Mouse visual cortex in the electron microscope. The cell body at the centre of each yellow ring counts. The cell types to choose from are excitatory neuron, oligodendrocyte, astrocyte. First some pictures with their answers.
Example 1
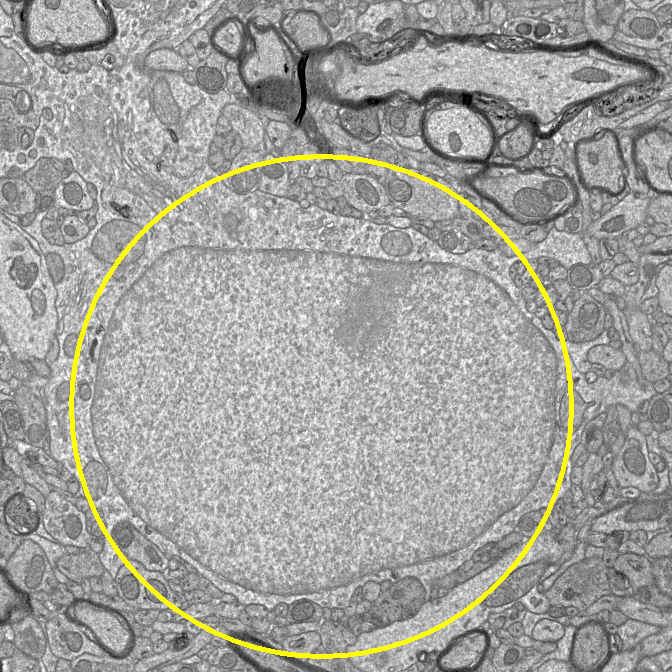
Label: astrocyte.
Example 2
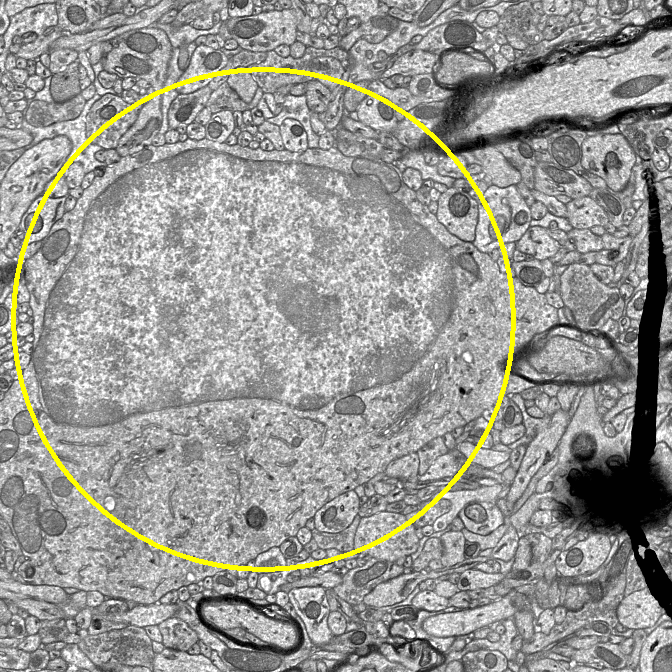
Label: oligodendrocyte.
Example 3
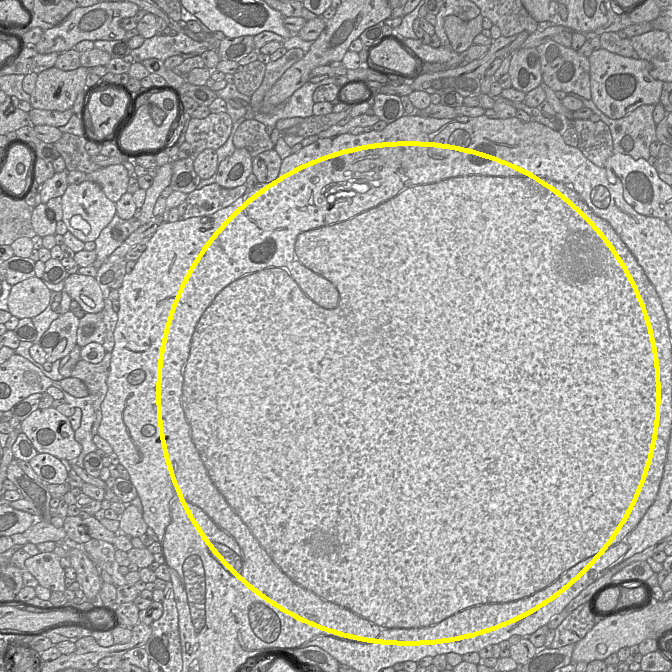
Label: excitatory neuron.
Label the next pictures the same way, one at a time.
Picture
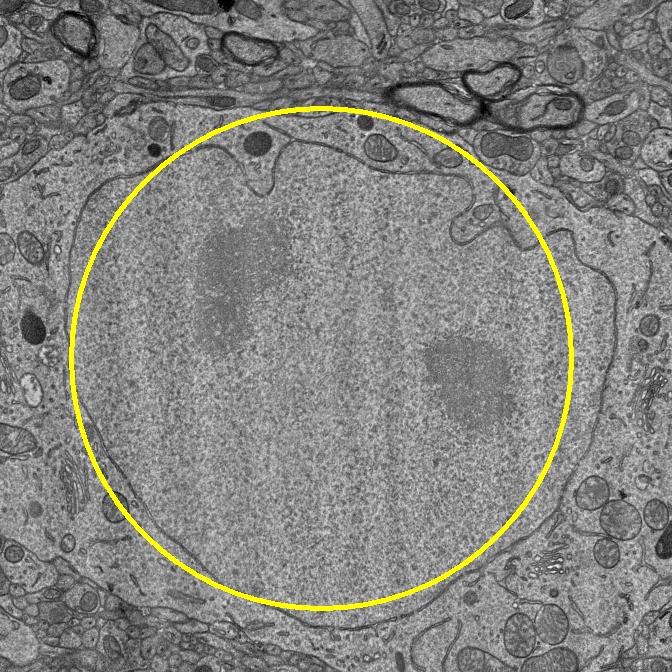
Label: excitatory neuron.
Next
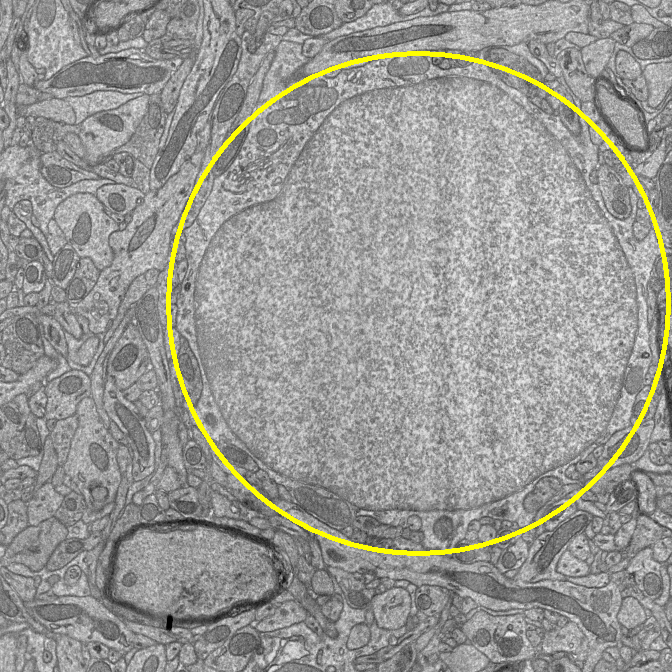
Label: astrocyte.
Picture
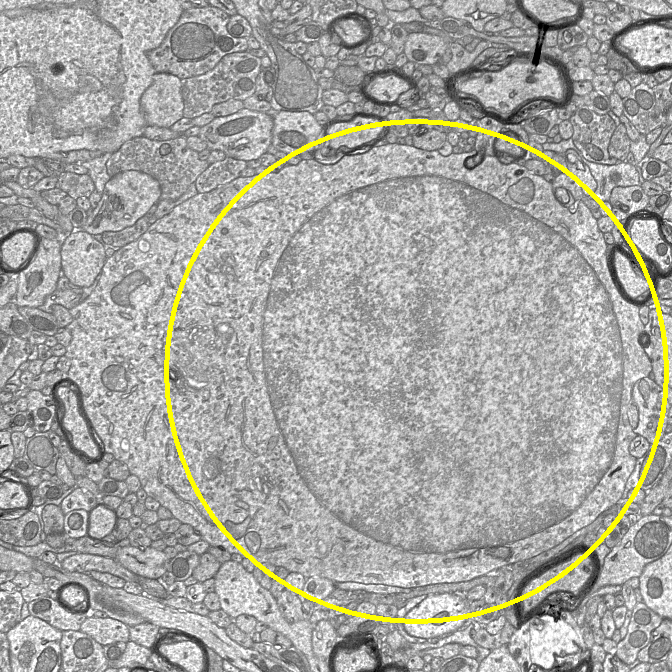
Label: oligodendrocyte.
